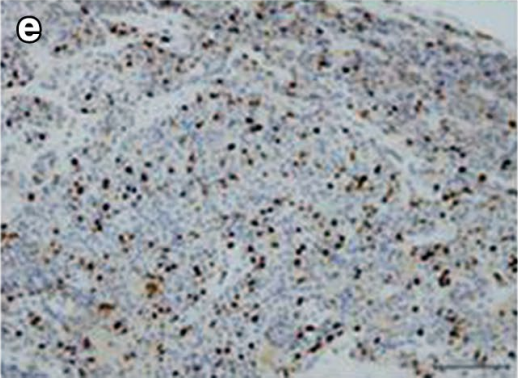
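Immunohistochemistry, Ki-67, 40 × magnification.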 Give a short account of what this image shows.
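Many nuclei scattered across the field are stained dark brown. The brown stain lies in the nuclei, and the cytoplasm around them remains largely unstained. Thin, paler strands of stroma run between groups of cells.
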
